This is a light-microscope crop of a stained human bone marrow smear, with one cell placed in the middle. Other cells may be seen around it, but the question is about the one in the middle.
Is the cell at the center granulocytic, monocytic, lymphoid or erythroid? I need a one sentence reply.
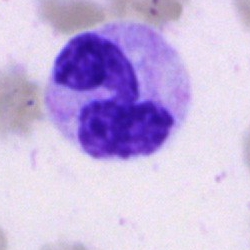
The cell in the center of the crop is counted in the granulocytic lineage.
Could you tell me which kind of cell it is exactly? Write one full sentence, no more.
Answering briefly, the cell in the middle is a segmented neutrophil.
